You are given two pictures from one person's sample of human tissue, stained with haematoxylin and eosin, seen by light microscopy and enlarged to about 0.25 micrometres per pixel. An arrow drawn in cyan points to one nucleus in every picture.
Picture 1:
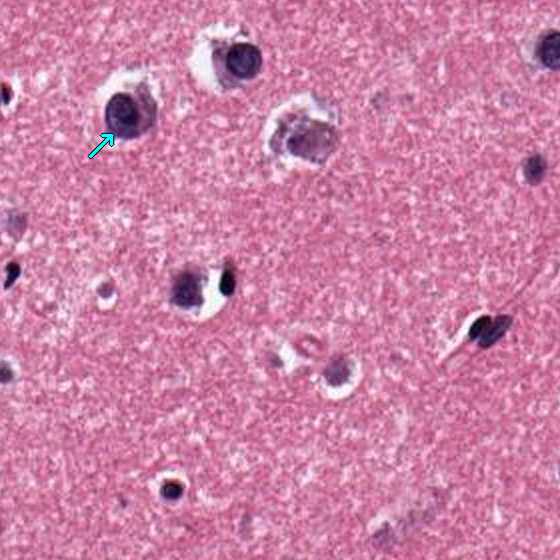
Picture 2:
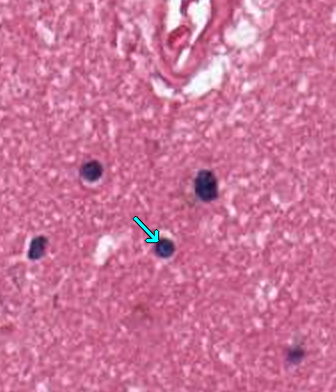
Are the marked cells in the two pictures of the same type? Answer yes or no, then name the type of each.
No, the first is a neuron and the second an oligodendrocyte.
